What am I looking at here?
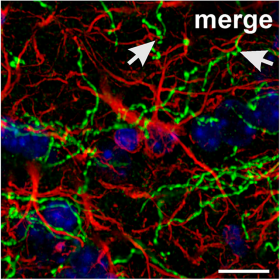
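Red astrocytes have compact cell bodies from which thick processes branch and thin out in many directions. Blue rounded nuclei are scattered among them. Thin green fibers run in crisscrossing and roughly parallel strands and are beaded with small round swellings. The green fibers weave between and along the red processes, so that swellings and processes come into close contact in many places.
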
